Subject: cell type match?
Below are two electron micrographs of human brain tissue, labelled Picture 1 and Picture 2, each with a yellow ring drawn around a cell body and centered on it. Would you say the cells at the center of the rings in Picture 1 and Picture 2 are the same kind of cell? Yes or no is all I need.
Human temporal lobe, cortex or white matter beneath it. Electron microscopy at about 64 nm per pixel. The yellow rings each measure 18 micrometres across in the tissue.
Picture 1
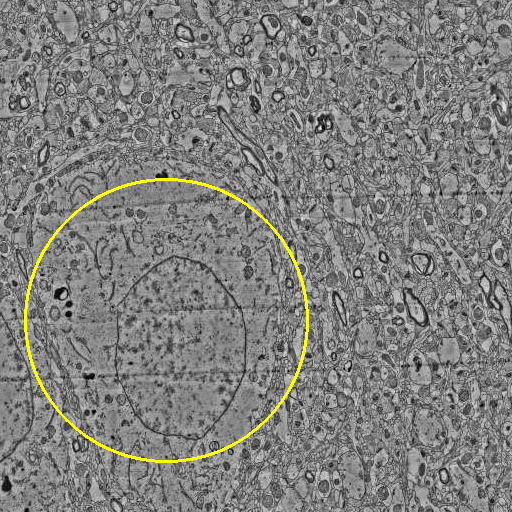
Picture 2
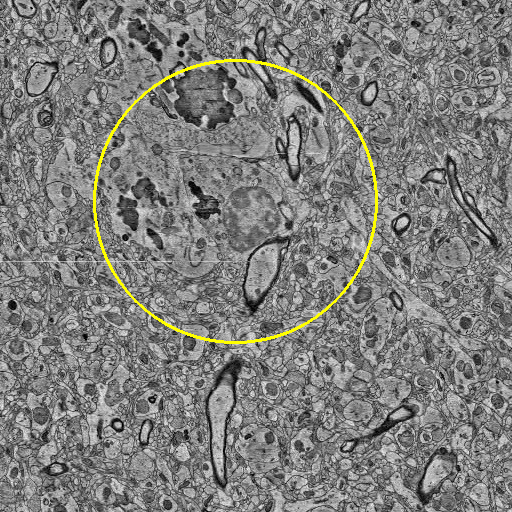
no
